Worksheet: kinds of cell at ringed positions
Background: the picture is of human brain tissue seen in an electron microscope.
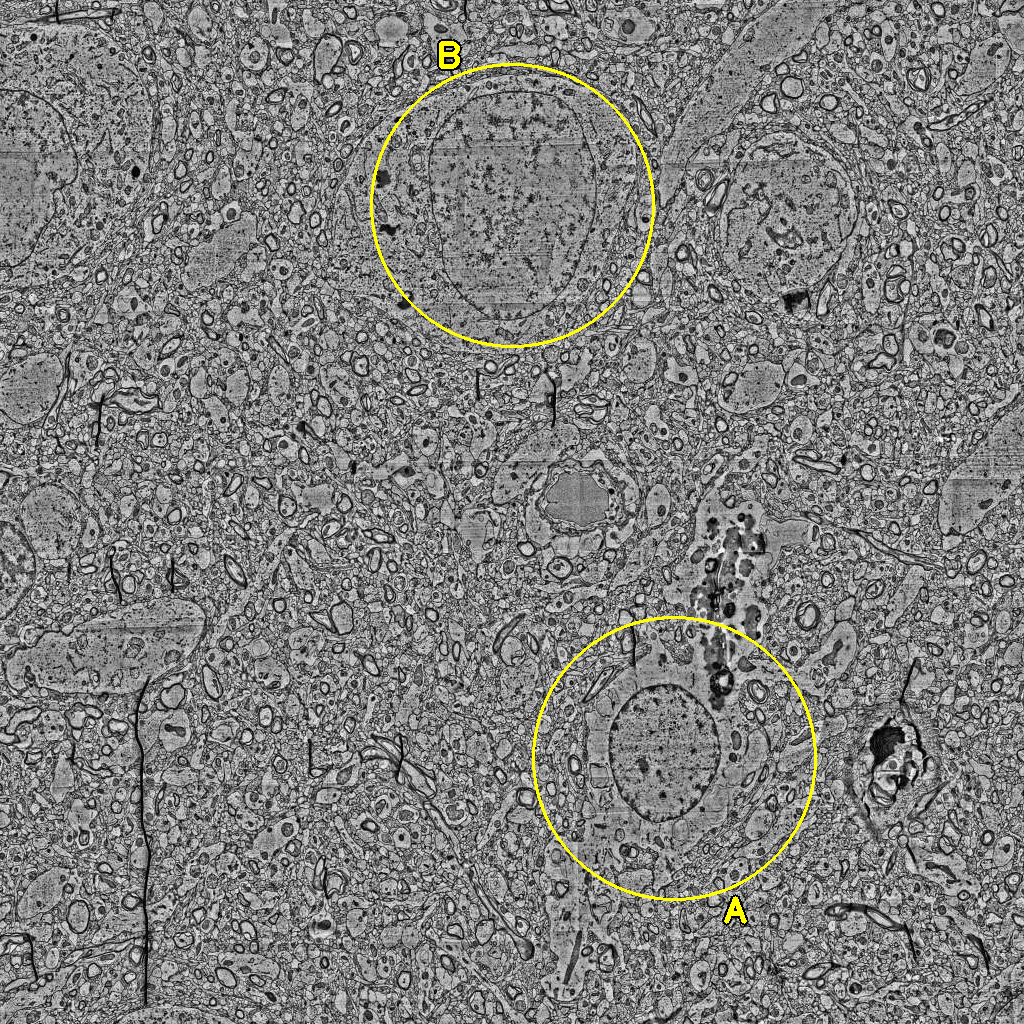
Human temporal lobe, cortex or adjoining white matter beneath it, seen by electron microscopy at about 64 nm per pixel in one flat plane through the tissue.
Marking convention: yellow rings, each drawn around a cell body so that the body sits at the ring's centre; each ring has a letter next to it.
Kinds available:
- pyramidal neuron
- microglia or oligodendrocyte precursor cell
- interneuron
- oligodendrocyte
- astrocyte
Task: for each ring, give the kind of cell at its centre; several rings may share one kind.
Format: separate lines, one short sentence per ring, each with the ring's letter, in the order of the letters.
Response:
Ring A is drawn around an astrocyte.
Ring B is drawn around a pyramidal neuron.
